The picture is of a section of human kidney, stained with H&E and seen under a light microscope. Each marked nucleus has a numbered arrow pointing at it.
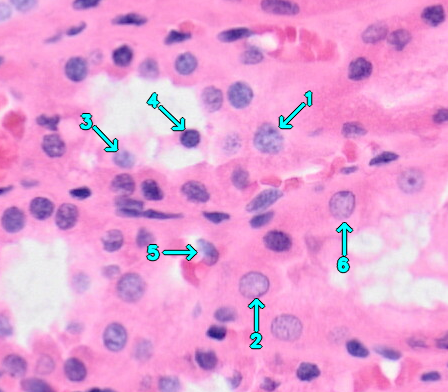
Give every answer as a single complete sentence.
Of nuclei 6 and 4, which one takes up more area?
It is nucleus 6, which covers about 1.5 times the area of nucleus 4.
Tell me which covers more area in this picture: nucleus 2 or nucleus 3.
The larger nucleus is 2, at roughly 1.5 times the area of 3.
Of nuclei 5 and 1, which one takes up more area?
It is nucleus 1, which covers about 1.5 times the area of nucleus 5.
